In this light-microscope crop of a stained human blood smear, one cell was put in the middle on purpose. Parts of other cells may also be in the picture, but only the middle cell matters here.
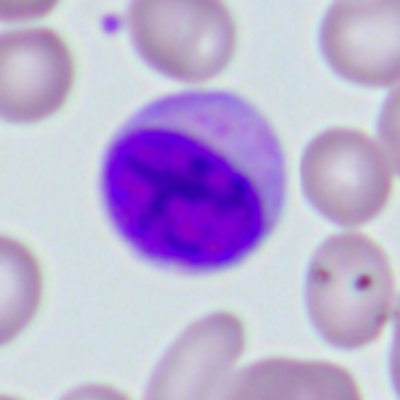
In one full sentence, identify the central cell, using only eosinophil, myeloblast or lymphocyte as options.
The cell featured at the centre of this crop is a lymphocyte.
